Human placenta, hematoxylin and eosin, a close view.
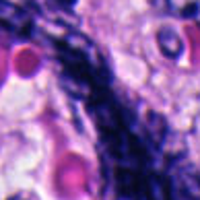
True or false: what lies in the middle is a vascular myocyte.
False; it is a syncytial knot.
